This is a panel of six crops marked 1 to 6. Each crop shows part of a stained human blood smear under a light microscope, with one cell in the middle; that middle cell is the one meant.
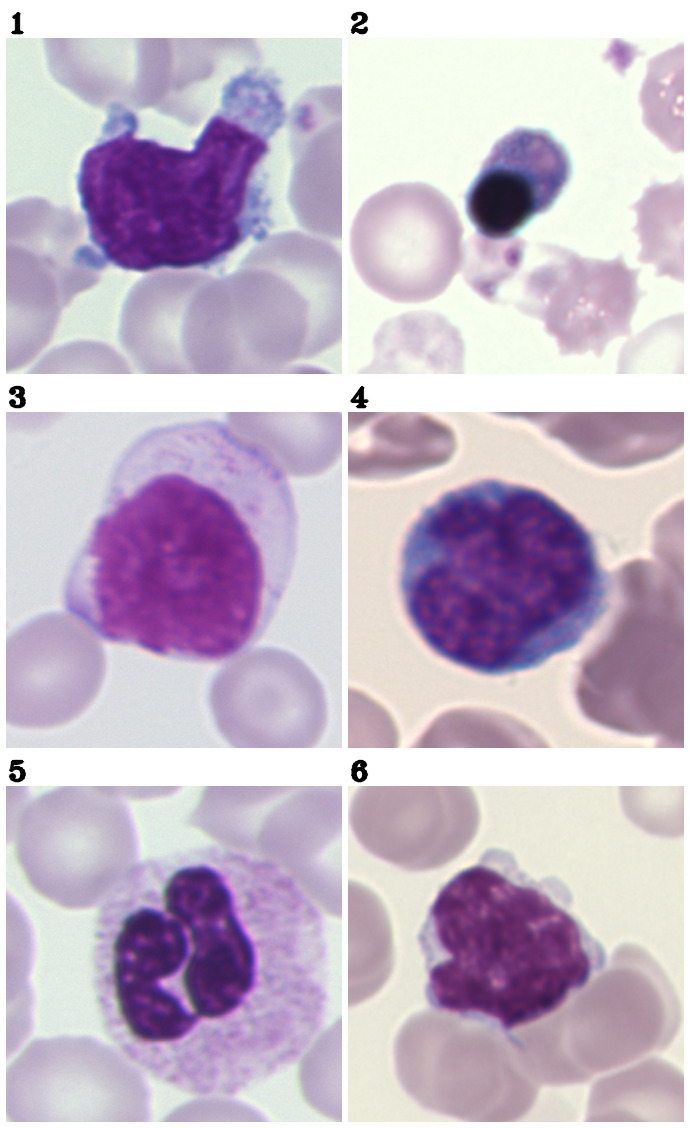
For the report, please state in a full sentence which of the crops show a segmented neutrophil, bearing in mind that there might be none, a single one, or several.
Crop 5 is the lone crop showing a segmented neutrophil.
